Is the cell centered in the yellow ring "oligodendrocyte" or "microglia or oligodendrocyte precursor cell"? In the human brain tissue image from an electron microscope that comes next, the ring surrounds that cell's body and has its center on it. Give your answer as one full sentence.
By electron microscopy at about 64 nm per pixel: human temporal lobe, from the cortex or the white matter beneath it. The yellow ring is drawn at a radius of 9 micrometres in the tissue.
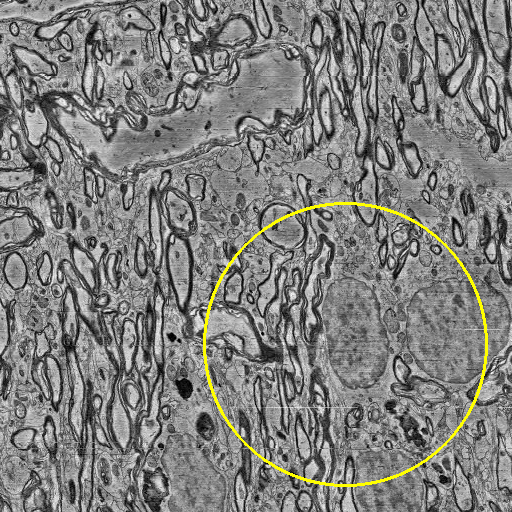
The cell at the center of the yellow ring is an oligodendrocyte in the micrograph.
